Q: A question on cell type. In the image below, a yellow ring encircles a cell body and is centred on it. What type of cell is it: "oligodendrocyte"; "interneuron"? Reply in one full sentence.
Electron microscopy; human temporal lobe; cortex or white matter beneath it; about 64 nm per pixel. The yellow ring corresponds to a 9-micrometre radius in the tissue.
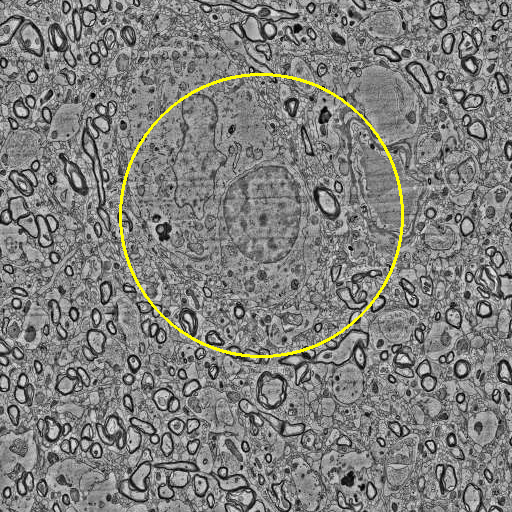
It is an oligodendrocyte whose cell body sits at the centre of the yellow ring in the image.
